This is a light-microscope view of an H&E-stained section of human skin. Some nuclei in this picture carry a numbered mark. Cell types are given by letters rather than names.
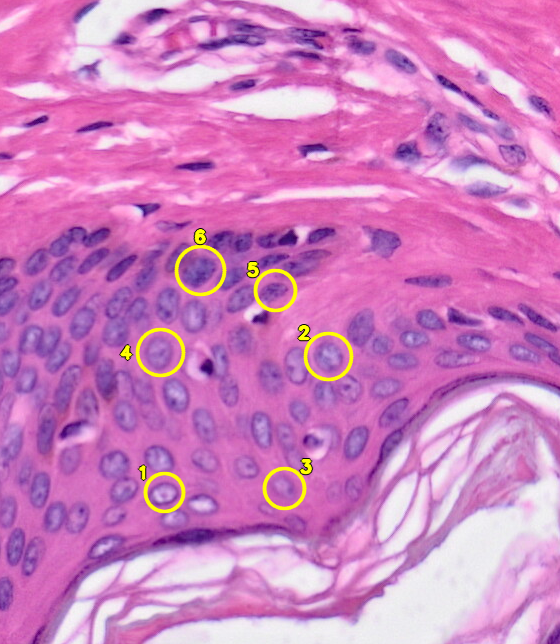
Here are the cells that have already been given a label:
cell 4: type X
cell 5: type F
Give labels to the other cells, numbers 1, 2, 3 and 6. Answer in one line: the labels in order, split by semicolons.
type X; type F; type X; type F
